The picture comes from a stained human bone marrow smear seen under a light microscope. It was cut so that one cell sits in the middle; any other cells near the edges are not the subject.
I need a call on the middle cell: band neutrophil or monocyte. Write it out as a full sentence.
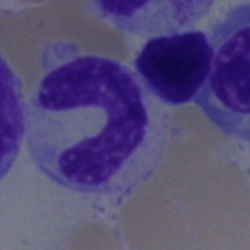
The cell in the middle of the field of view is a band neutrophil.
